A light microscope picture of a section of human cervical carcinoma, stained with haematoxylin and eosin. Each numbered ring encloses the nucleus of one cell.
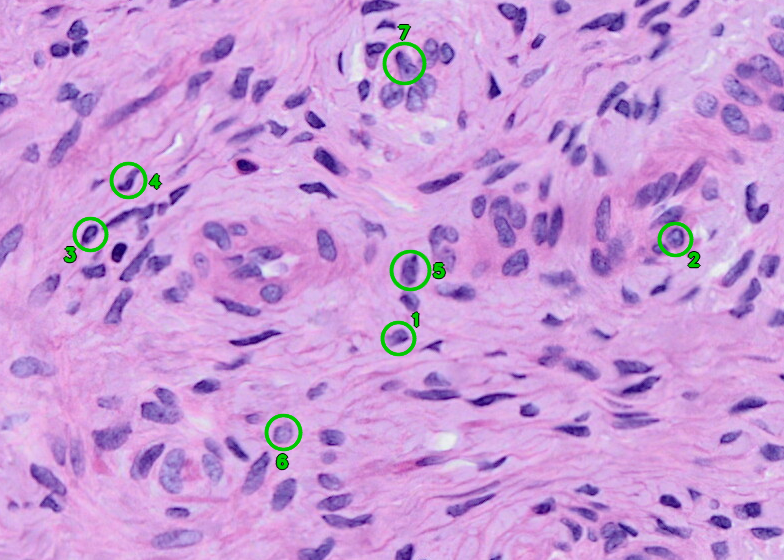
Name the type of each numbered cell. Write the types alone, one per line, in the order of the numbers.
fibroblast
smooth muscle cell
fibroblast
fibroblast
fibroblast
smooth muscle cell
endothelial cell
